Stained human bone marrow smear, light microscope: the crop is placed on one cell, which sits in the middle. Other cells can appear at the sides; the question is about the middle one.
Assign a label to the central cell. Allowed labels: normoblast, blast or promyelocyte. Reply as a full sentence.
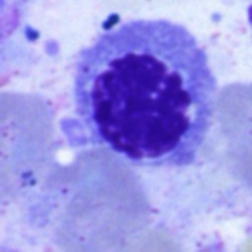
At the crop's centre, the cell is a normoblast.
